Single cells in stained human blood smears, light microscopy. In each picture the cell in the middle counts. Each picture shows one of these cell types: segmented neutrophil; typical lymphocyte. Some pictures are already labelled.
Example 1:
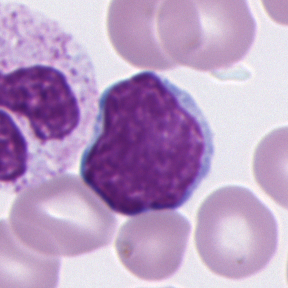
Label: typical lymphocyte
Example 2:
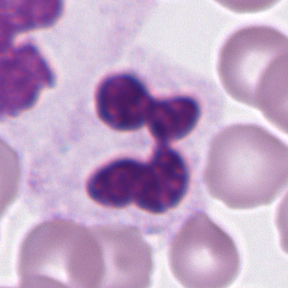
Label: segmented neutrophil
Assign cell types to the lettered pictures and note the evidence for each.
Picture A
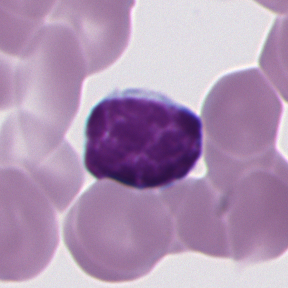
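typical lymphocyte. The cytoplasm is only a very thin rim around the nucleus.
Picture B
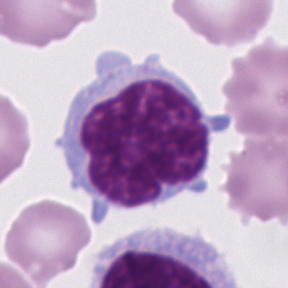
typical lymphocyte. The nucleus fills most of the cell, leaving a narrow rim of cytoplasm.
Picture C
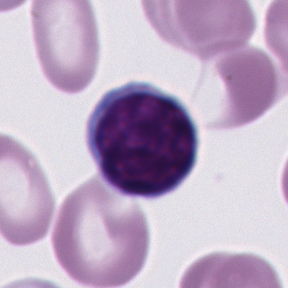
typical lymphocyte. The cytoplasm is a thin rim, best seen on the left side of the cell.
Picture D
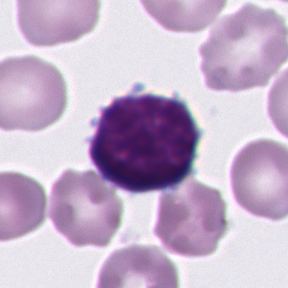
typical lymphocyte. Only a very thin rim of cytoplasm shows around the nucleus.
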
